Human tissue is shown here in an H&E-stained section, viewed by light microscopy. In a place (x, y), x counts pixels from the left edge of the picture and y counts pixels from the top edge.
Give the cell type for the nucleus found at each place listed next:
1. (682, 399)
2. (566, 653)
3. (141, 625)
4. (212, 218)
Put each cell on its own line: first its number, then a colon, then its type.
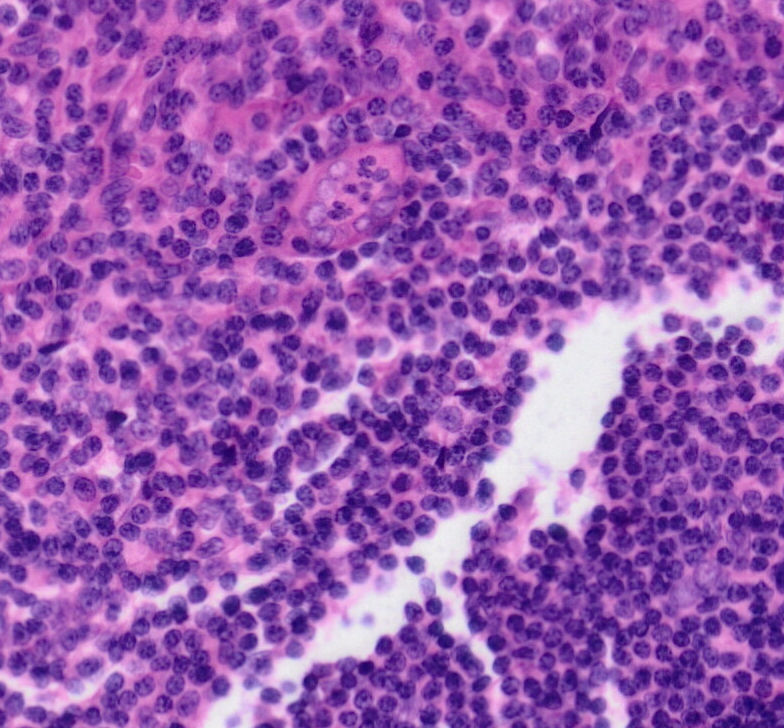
1: small lymphocyte
2: small lymphocyte
3: small lymphocyte
4: plasma cell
